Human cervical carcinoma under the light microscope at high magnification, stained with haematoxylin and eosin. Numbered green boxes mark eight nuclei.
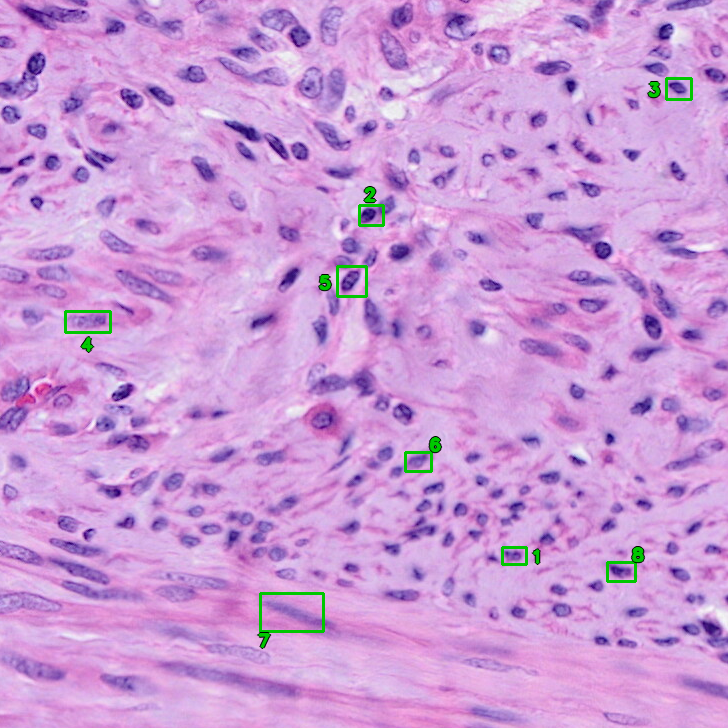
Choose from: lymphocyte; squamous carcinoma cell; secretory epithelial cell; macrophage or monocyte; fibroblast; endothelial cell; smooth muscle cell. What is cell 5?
lymphocyte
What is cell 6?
smooth muscle cell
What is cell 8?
smooth muscle cell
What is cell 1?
smooth muscle cell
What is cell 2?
lymphocyte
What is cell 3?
fibroblast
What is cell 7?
smooth muscle cell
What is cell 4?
smooth muscle cell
